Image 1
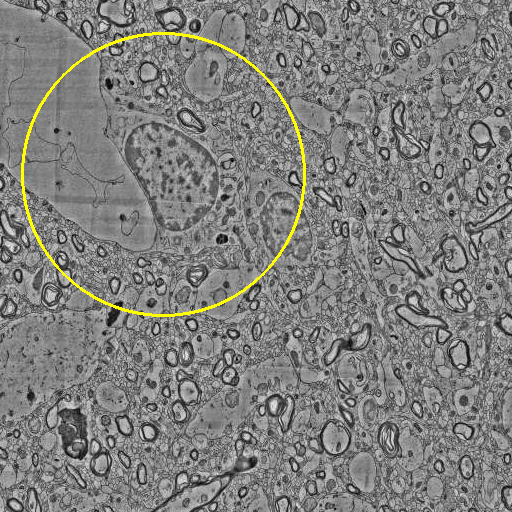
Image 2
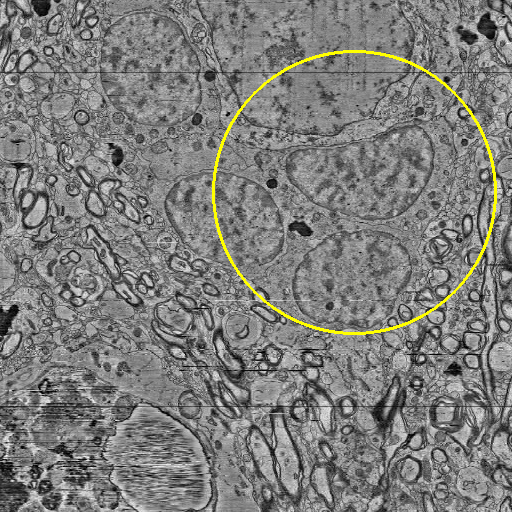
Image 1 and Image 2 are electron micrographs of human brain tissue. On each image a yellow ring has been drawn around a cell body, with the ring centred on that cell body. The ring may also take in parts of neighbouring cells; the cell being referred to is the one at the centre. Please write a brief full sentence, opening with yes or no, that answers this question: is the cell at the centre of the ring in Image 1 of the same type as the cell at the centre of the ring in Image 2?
No, the two cells are of two types.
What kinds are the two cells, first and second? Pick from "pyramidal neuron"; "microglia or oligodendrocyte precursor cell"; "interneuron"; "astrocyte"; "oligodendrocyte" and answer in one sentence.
The second picture holds an oligodendrocyte in its ring, and the first holds a microglial cell or oligodendrocyte precursor cell.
